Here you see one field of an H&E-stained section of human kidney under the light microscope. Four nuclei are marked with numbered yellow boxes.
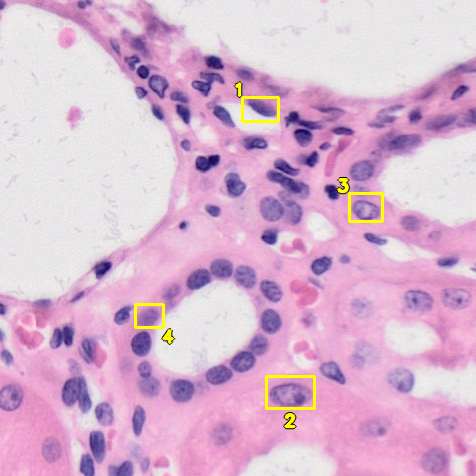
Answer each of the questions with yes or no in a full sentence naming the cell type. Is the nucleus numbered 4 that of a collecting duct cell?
Yes, kindly take note: the cell numbered 4 is a collecting duct cell.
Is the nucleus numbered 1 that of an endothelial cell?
Yes, what number 1 marks is an endothelial cell.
